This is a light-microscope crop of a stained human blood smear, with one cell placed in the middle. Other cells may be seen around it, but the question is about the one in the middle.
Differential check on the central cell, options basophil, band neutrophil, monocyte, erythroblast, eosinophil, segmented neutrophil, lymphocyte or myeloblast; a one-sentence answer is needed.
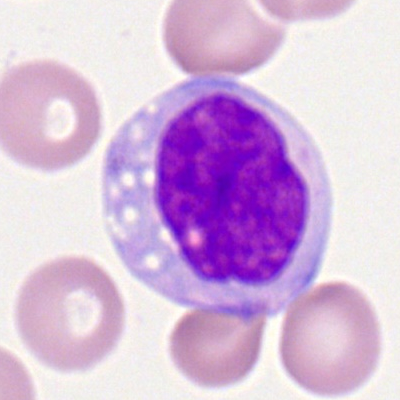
The centrally located cell in the crop is a monocyte.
